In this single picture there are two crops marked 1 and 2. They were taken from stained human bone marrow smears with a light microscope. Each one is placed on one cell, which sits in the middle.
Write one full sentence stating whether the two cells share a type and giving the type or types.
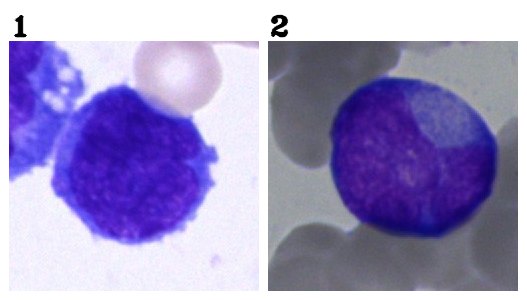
Yes, it is blasts that occupy the middle of both crops.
